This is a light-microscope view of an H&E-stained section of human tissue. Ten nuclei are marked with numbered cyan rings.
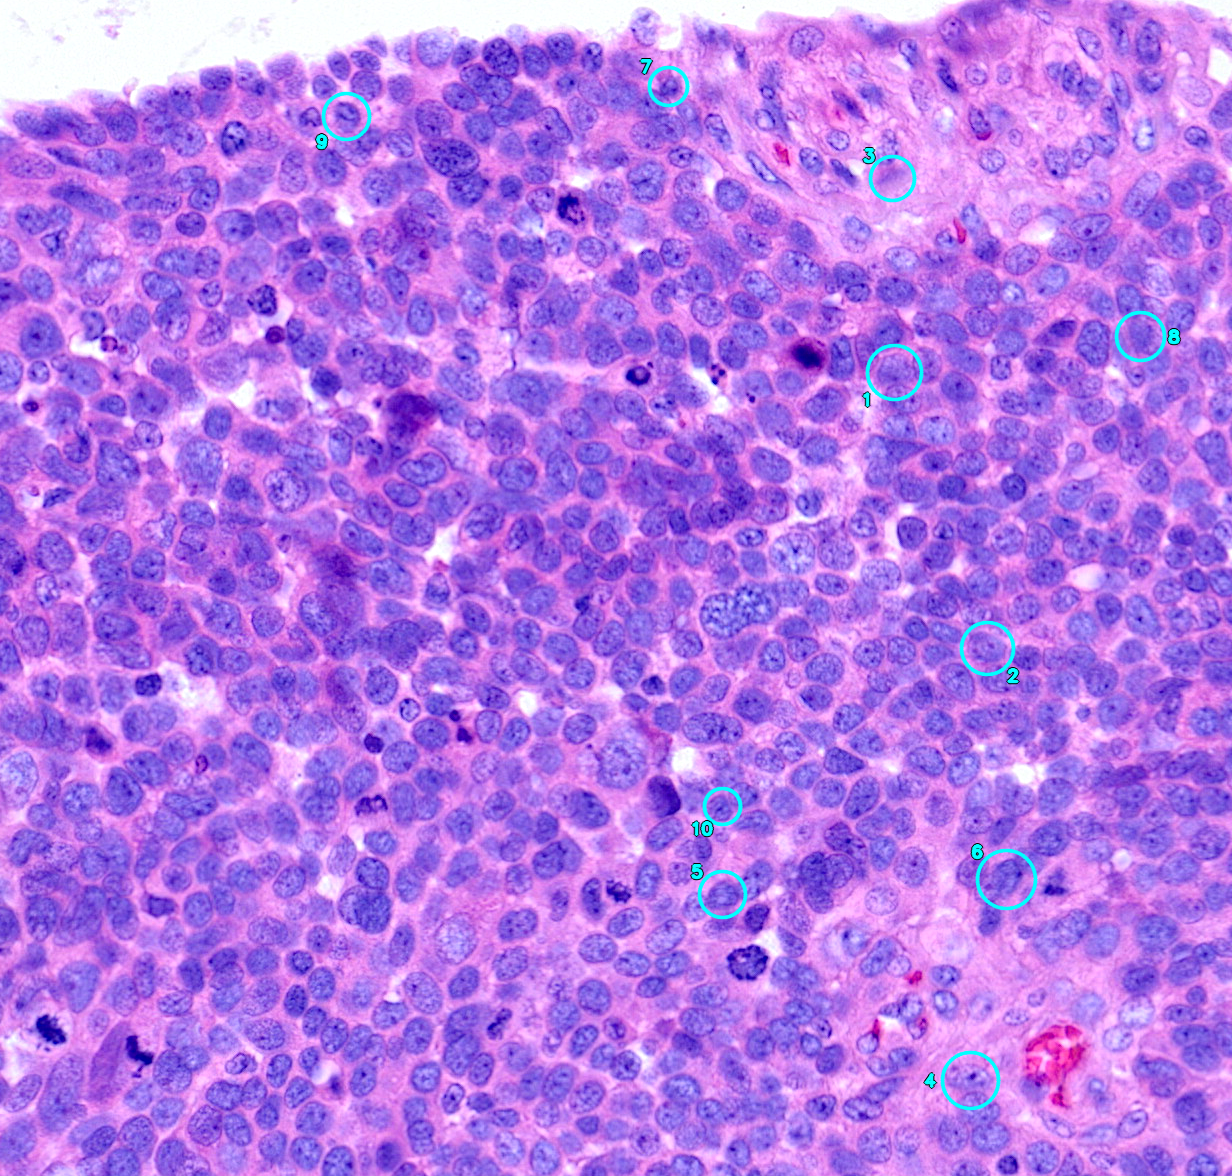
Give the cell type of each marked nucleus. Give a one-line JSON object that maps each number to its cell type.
{"1": "carcinoma cell", "2": "carcinoma cell", "3": "fibroblast", "4": "fibroblast", "5": "carcinoma cell", "6": "carcinoma cell", "7": "macrophage or monocyte", "8": "carcinoma cell", "9": "macrophage or monocyte", "10": "carcinoma cell"}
